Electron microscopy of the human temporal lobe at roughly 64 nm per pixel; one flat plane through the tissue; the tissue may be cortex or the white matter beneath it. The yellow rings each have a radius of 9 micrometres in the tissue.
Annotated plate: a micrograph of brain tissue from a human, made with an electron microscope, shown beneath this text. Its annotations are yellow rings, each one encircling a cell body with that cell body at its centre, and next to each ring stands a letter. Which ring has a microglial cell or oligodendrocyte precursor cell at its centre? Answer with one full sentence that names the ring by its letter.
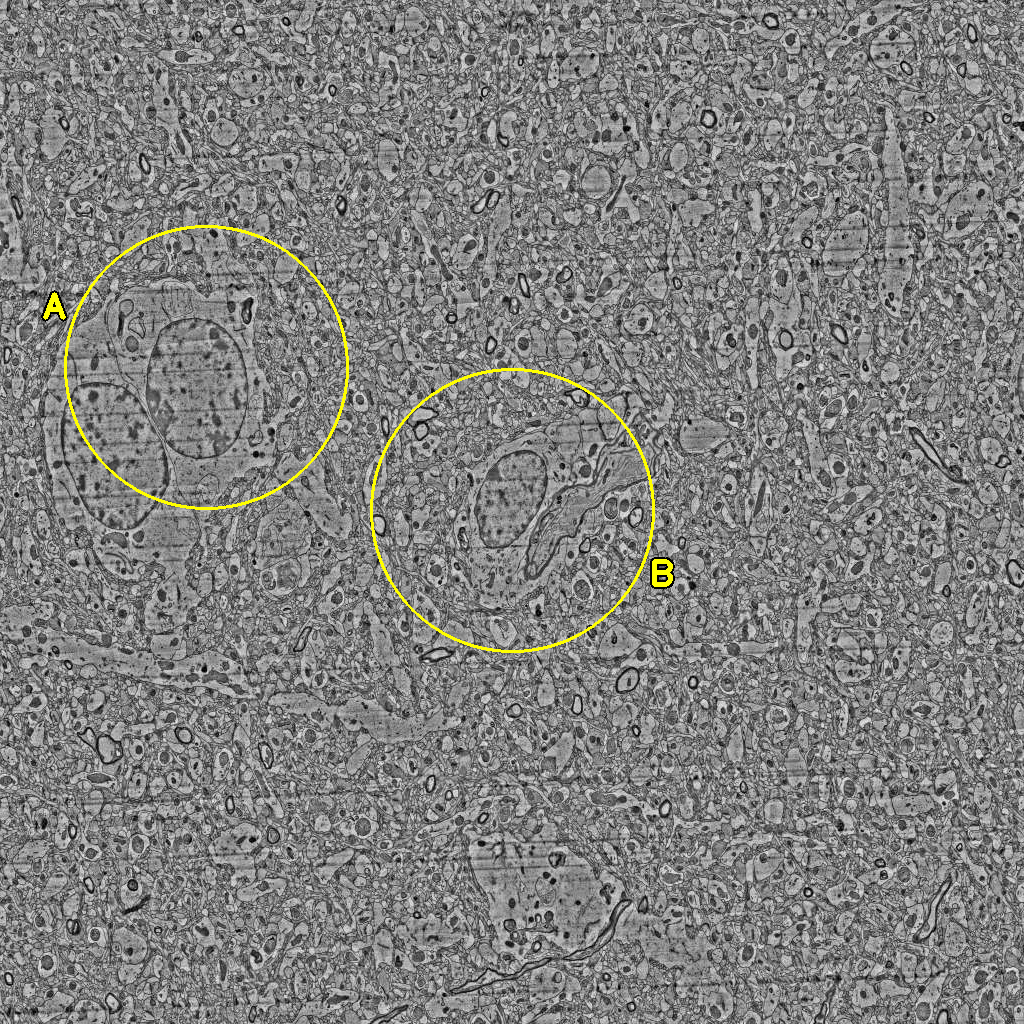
In the plate, ring B is the one centred on a cell of that kind.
